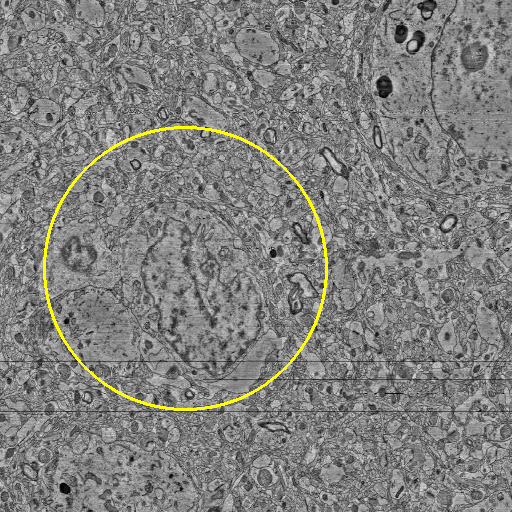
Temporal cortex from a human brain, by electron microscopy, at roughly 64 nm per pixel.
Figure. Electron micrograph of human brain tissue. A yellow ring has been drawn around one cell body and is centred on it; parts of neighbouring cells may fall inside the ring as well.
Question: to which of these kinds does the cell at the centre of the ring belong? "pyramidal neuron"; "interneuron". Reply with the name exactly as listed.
interneuron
